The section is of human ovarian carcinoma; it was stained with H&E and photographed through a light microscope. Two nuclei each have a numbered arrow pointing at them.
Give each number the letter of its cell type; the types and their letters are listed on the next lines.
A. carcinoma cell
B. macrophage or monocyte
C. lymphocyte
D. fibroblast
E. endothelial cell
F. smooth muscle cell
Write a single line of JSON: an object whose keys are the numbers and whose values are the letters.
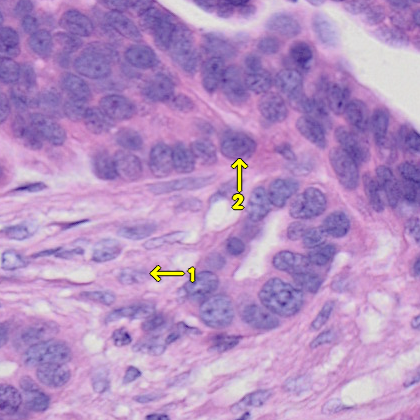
{"1": "D", "2": "A"}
